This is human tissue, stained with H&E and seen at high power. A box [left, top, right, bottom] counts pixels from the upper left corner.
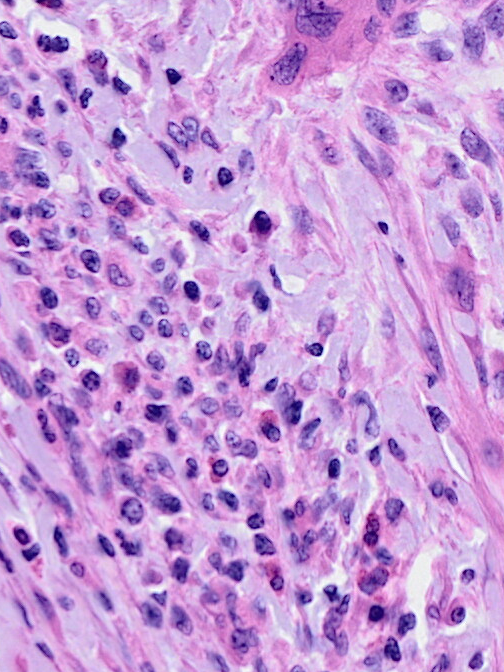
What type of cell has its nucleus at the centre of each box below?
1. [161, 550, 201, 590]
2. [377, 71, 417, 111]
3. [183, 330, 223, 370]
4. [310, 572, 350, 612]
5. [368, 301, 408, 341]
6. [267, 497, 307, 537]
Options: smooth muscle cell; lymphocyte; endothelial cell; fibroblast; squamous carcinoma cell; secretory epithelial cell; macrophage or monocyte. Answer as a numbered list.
1. lymphocyte
2. macrophage or monocyte
3. lymphocyte
4. lymphocyte
5. fibroblast
6. lymphocyte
